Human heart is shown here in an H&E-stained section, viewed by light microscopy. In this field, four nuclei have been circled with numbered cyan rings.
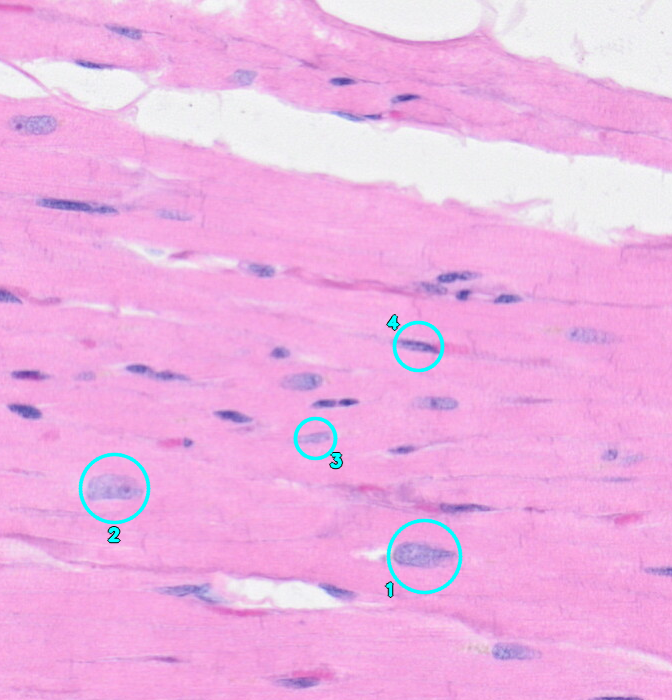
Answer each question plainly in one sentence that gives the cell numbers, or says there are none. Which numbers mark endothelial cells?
The numbered cell that is an endothelial cell is cell 4, and it is the only one.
